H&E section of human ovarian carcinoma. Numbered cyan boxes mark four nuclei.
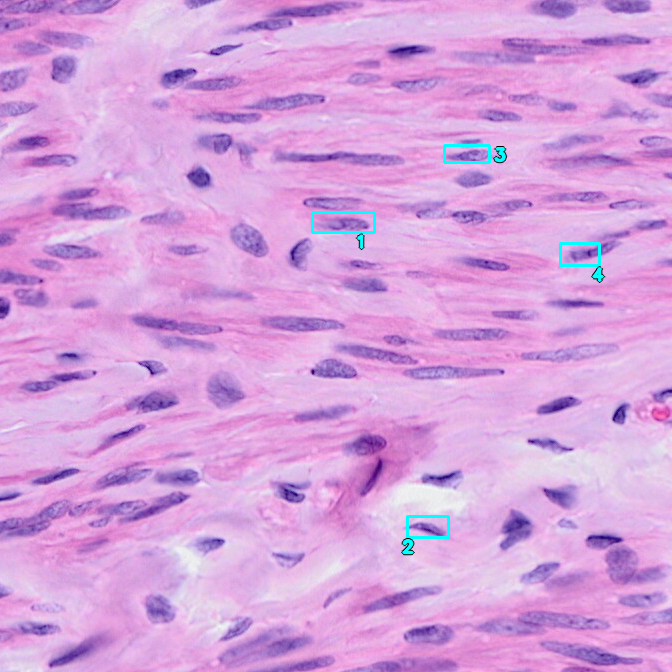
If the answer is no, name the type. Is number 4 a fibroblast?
No, it is a smooth muscle cell.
